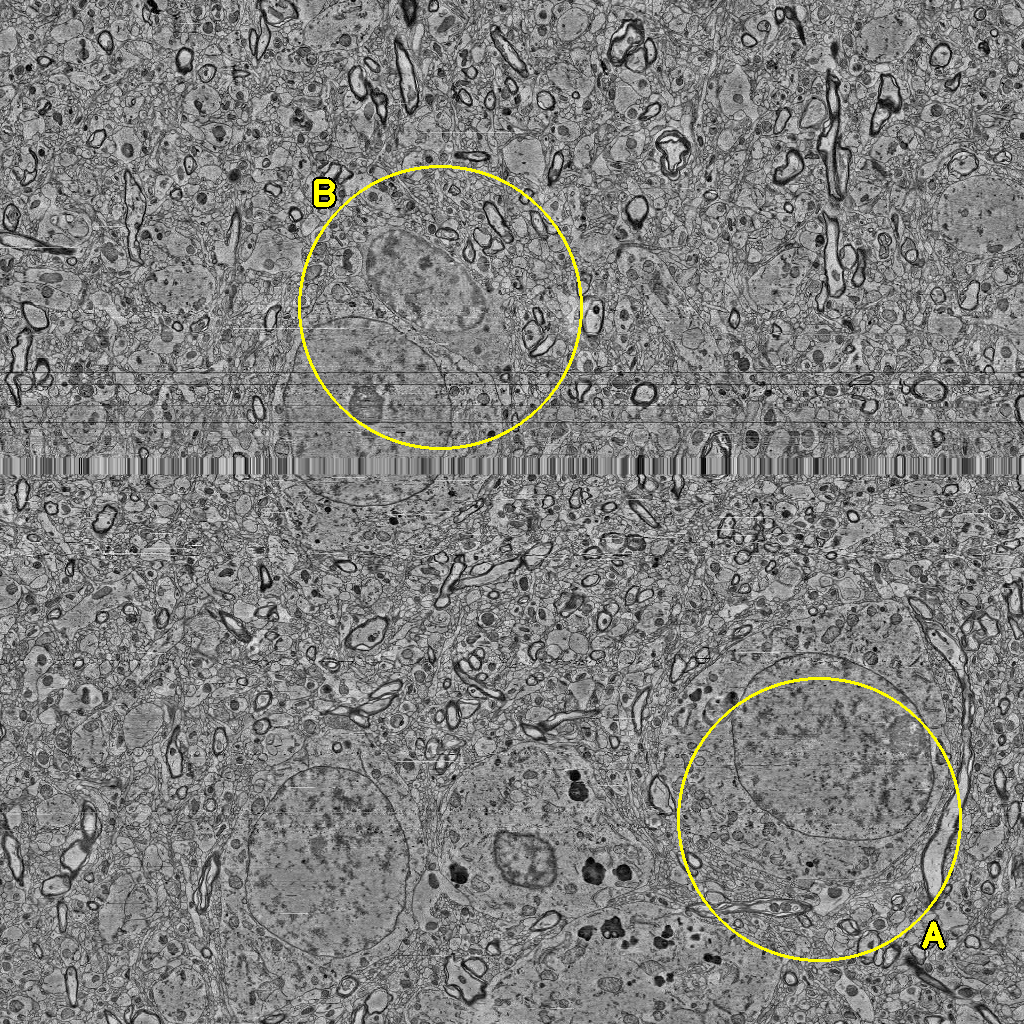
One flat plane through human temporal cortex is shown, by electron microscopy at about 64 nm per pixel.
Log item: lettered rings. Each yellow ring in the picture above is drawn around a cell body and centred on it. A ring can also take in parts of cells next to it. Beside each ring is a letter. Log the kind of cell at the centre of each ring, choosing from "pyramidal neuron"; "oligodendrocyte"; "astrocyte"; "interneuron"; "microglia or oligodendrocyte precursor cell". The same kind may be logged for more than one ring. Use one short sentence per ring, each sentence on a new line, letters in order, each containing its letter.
Within ring A, the centre is taken by a pyramidal neuron.
Within ring B, the centre is taken by an oligodendrocyte.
